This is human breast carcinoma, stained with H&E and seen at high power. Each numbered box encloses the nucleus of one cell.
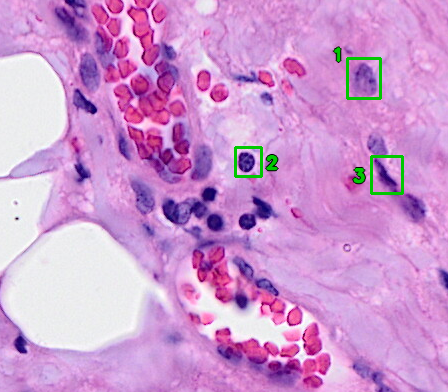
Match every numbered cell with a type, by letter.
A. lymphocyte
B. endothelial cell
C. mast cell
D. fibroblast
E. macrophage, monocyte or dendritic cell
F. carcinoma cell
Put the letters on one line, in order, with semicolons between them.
D; A; D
